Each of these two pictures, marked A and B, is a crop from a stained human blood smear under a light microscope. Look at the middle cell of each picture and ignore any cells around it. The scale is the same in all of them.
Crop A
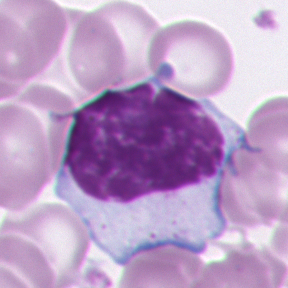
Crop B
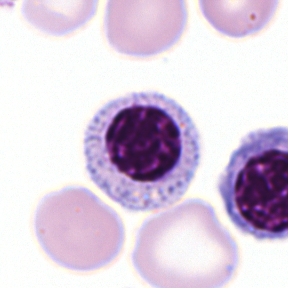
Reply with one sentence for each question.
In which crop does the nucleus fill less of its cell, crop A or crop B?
The nucleus fills less of the cell in crop B than in crop A.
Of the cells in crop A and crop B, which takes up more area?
It is the cell in crop A, about 1.5 times as large in area as the cell in crop B.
